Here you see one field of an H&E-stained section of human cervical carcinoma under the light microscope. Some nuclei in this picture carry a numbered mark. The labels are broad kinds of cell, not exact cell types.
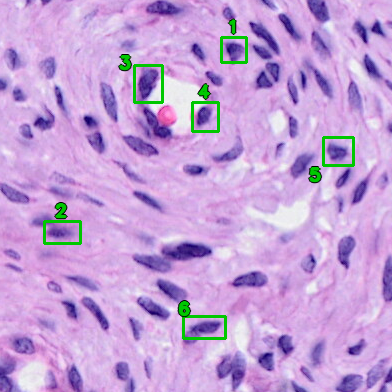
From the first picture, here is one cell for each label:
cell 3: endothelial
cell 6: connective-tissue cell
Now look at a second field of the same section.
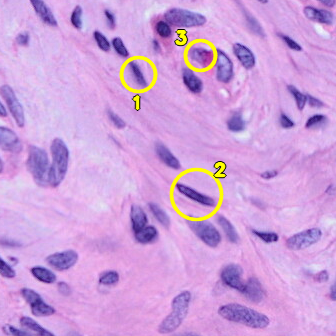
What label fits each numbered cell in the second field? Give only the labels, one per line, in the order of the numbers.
connective-tissue cell
connective-tissue cell
endothelial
